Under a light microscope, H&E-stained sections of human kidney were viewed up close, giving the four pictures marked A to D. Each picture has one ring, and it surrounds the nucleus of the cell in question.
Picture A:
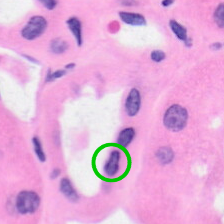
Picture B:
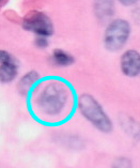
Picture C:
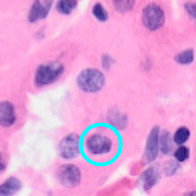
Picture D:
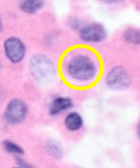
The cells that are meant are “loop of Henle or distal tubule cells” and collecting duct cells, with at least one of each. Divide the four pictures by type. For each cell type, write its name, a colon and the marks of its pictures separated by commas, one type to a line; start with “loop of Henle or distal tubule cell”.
loop of Henle or distal tubule cell: C, D
collecting duct cell: A, B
